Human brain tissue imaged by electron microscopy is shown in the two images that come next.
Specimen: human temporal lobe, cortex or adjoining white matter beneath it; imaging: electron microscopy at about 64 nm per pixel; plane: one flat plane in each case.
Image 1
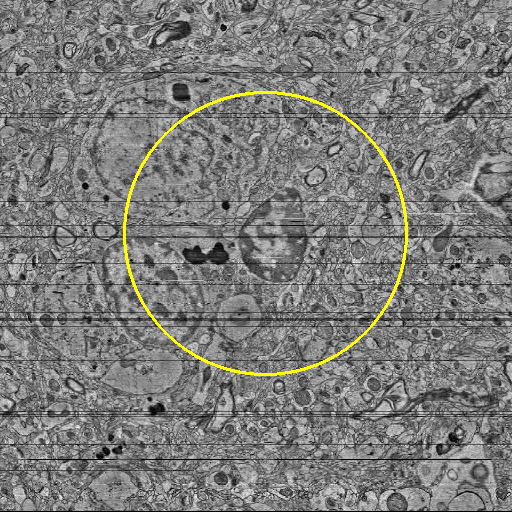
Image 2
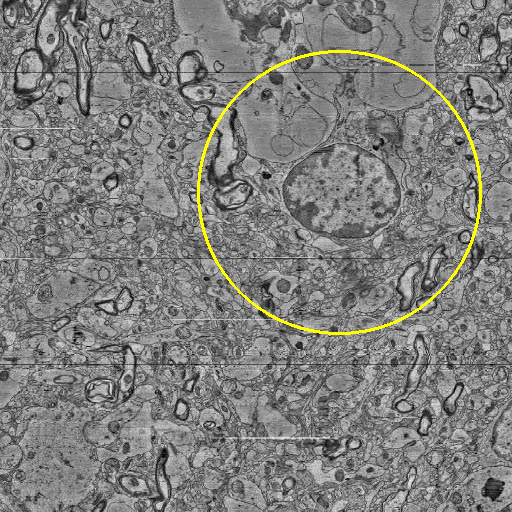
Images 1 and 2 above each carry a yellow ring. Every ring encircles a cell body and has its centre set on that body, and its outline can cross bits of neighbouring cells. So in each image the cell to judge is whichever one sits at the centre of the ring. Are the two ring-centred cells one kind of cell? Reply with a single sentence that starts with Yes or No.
Yes, in Image 1 and Image 2 the cells at the centres of their rings fall into one type.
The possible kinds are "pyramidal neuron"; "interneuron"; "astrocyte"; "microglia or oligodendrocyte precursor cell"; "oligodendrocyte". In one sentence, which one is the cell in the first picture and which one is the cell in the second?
In the first picture and in the second, the ring is centred on a microglial cell or oligodendrocyte precursor cell.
